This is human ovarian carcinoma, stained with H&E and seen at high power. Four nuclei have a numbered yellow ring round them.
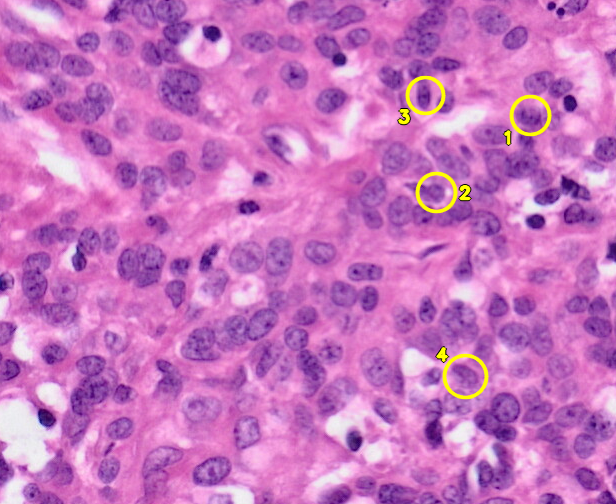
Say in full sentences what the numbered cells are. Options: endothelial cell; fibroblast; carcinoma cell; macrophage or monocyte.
Cell 1 is a carcinoma cell, cell 2 is a carcinoma cell, cell 3 is a macrophage or monocyte and cell 4 is a carcinoma cell.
